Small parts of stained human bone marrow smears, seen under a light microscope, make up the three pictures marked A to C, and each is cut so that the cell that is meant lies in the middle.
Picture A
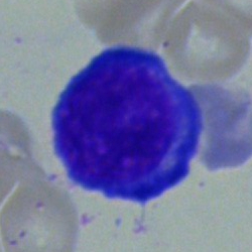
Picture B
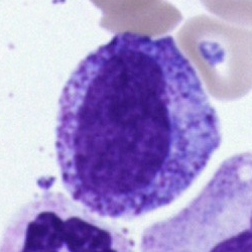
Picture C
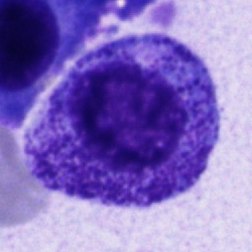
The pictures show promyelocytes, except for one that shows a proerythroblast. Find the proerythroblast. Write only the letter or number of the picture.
A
